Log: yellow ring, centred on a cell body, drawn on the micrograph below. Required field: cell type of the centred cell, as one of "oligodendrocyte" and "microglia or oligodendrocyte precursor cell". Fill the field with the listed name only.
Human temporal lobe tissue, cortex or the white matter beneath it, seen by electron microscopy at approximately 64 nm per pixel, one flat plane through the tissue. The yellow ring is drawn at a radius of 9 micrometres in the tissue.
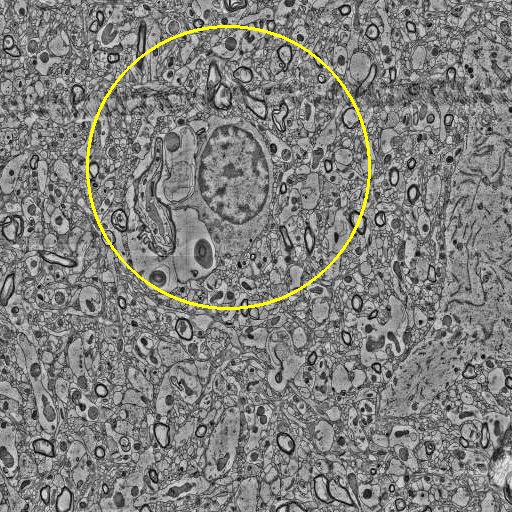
oligodendrocyte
